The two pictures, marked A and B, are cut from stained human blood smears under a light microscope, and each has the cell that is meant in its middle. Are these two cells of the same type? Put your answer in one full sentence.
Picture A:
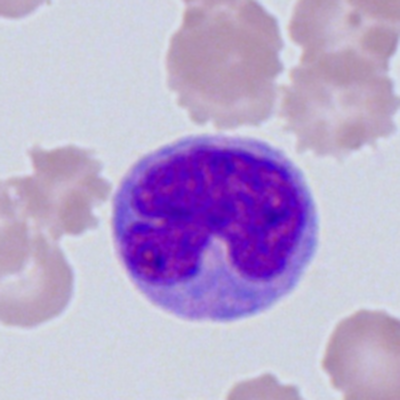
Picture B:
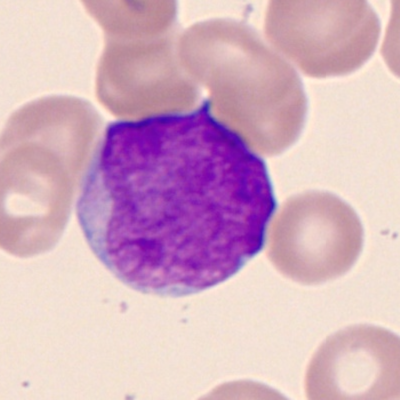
No; the cell in picture A is a monocyte, while the one in picture B is a myeloblast.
